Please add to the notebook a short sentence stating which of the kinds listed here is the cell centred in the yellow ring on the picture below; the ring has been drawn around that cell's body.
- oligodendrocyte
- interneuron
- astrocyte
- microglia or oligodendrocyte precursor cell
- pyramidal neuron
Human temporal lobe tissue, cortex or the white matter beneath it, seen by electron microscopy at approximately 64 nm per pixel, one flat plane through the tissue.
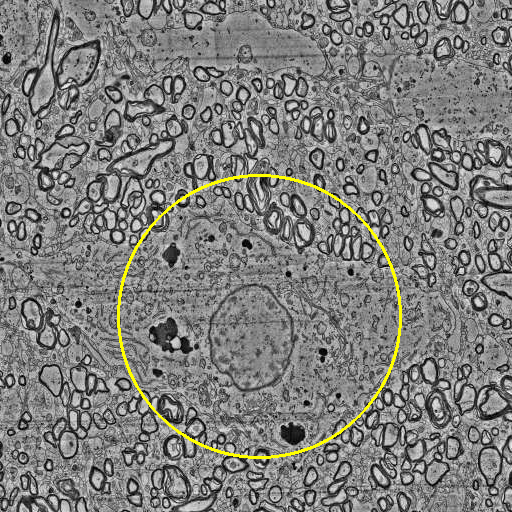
The cell centred in the yellow ring is a pyramidal neuron.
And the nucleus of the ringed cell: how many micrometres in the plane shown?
In this plane, about 7 micrometres in length and 6 in width.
